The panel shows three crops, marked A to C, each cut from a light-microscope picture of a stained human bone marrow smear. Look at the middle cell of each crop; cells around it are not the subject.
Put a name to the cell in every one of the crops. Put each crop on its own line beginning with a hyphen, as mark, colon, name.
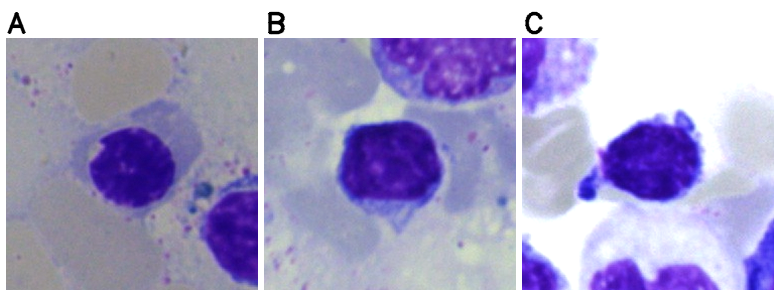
- A: erythroblast
- B: lymphocyte
- C: lymphocyte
